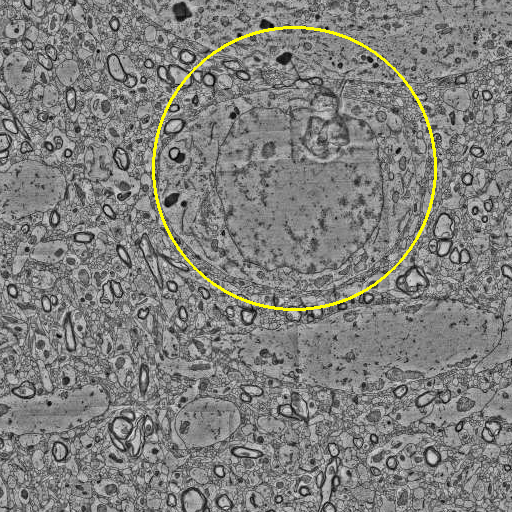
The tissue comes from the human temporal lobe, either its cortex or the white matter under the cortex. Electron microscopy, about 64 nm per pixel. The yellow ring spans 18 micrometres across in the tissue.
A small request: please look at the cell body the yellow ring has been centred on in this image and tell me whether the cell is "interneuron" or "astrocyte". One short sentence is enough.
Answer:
The cell marked by the ring is an interneuron.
